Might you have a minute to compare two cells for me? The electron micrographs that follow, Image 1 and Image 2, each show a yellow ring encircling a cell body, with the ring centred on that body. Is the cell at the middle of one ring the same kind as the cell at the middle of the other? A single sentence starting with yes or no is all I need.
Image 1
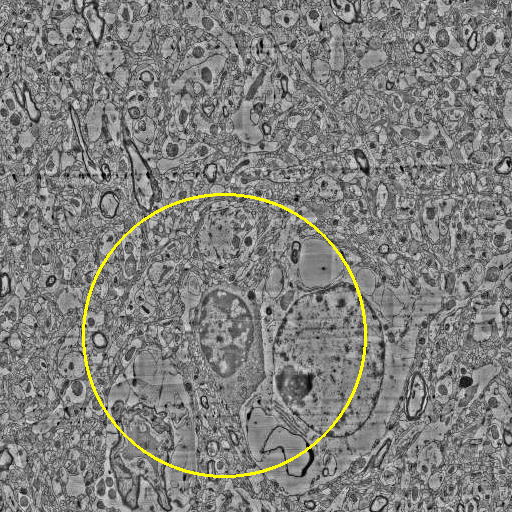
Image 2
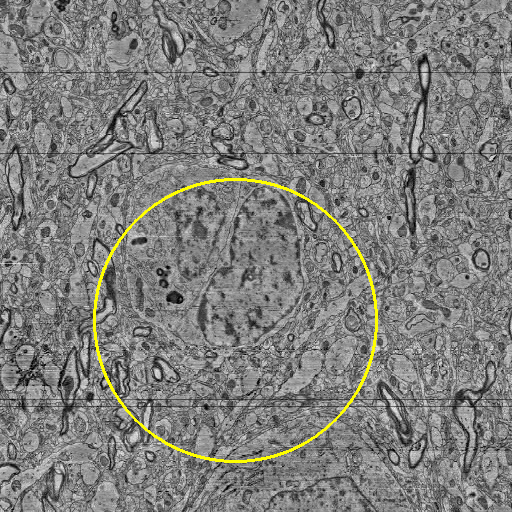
No, the cells in the middle of the two rings are of two separate kinds.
